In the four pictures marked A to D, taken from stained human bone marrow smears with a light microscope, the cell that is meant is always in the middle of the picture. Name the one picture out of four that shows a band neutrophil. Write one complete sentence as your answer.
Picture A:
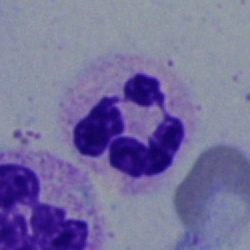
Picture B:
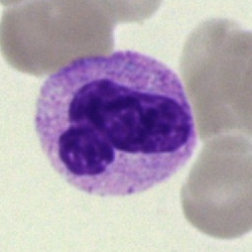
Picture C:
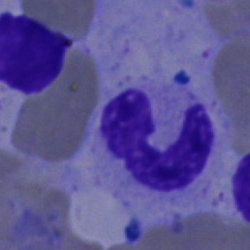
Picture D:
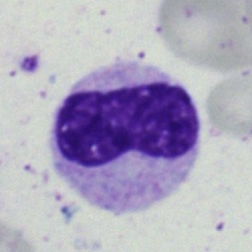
The cell in picture D is the band neutrophil.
